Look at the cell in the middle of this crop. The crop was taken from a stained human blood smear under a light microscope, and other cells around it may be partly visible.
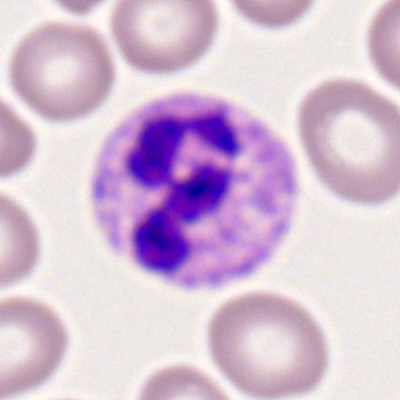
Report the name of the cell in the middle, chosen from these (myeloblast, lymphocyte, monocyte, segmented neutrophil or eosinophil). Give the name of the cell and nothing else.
segmented neutrophil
